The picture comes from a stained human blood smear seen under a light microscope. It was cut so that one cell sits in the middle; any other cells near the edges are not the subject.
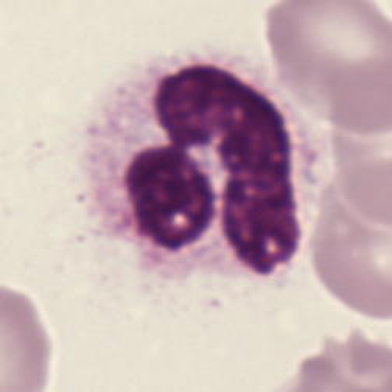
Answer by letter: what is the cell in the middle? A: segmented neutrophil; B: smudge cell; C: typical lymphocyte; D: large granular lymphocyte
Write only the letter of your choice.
A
